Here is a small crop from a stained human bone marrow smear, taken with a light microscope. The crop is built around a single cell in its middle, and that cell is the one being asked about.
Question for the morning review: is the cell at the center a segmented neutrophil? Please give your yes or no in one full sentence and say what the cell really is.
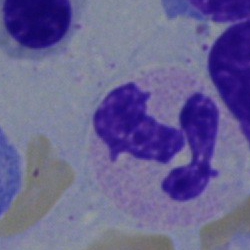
Yes, the cell at the centre of this crop is identified as a segmented neutrophil.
